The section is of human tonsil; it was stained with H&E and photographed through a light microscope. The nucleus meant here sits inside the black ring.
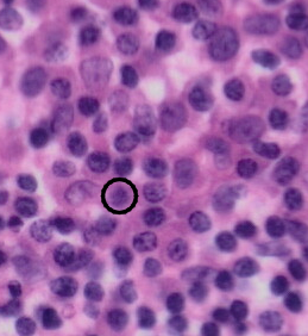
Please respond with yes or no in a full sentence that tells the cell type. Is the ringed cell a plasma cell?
Yes, it is as a plasma cell that the ringed cell is classified.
